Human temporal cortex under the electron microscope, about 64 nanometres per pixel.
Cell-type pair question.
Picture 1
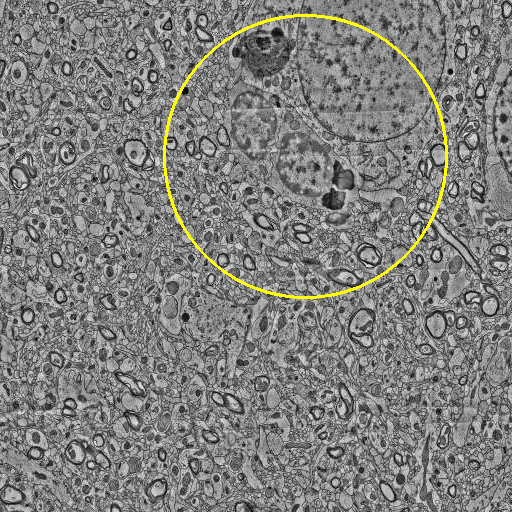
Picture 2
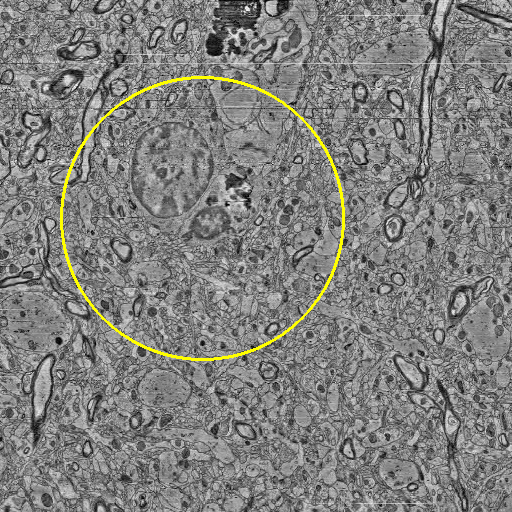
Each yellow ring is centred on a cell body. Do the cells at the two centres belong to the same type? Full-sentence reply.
Yes, the two cells belong to the same type.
